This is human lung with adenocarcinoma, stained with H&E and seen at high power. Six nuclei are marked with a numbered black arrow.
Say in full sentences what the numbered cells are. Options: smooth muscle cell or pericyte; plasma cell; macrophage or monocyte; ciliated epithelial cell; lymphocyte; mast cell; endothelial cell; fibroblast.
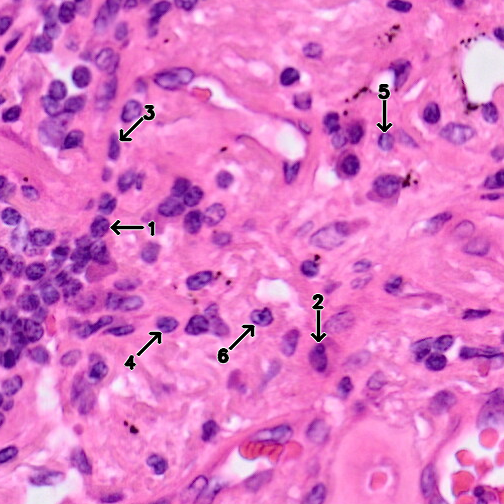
Cells 1, 3, 4 and 6 are lymphocytes. Cell 2 is a plasma cell. Cell 5 is a mast cell.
